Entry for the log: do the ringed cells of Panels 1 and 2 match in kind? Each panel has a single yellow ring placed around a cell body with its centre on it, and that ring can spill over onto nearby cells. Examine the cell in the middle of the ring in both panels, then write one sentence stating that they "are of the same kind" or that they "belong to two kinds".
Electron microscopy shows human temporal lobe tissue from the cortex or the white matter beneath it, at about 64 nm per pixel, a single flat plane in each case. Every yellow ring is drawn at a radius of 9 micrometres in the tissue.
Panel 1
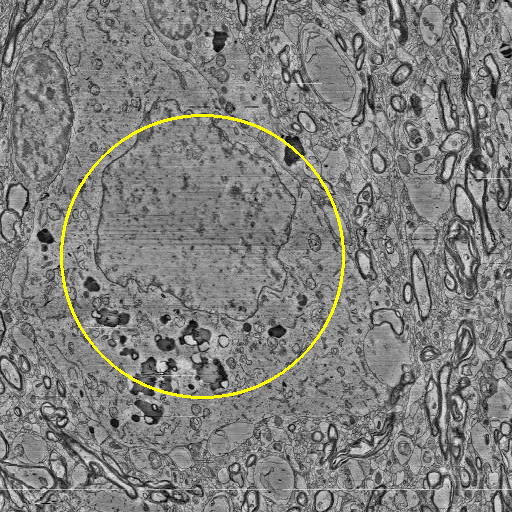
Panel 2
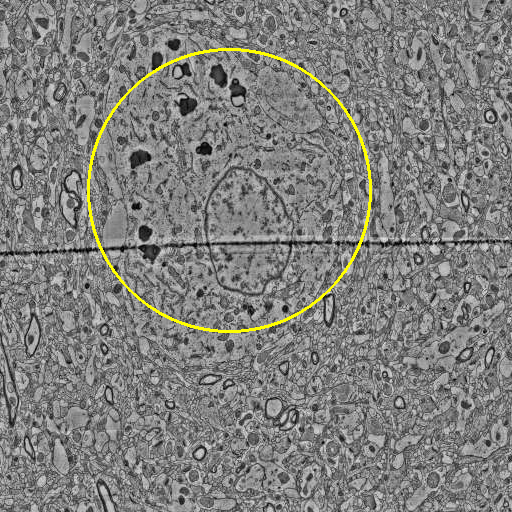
The centre cell of Panel 1's ring and that of Panel 2's ring are of the same kind.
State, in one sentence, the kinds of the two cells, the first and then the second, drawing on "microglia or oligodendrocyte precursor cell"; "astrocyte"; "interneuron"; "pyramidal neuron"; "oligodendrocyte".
Each of the two cells is a pyramidal neuron.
